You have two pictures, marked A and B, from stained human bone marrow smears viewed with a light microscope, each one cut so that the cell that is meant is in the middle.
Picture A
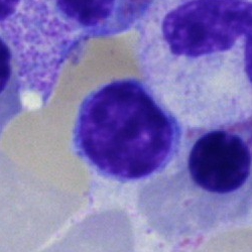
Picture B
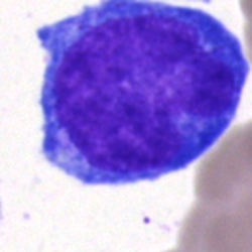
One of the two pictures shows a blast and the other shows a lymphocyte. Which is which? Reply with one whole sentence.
In picture A the cell is a lymphocyte; in picture B, a blast.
